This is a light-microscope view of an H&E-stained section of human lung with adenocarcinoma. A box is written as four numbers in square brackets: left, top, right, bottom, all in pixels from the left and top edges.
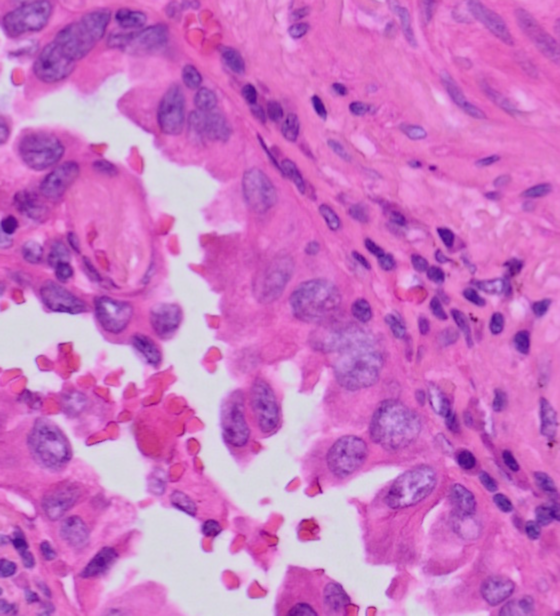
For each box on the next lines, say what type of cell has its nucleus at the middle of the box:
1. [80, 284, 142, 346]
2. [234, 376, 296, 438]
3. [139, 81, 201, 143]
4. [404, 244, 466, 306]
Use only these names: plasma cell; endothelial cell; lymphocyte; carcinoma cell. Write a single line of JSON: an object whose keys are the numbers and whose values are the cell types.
{"1": "carcinoma cell", "2": "carcinoma cell", "3": "carcinoma cell", "4": "lymphocyte"}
